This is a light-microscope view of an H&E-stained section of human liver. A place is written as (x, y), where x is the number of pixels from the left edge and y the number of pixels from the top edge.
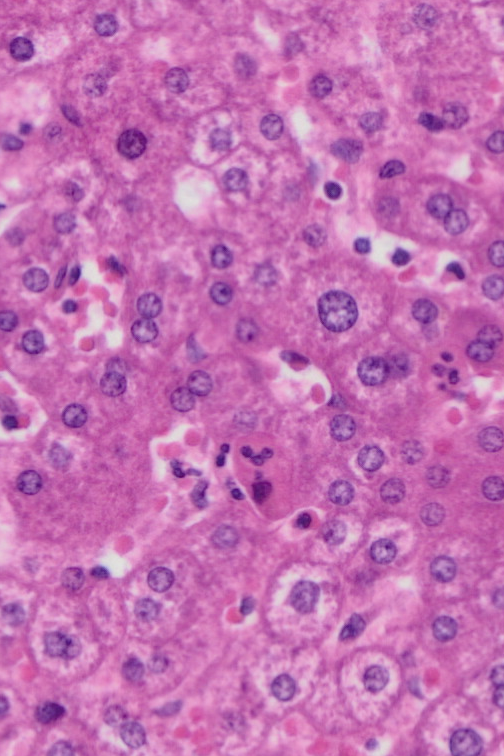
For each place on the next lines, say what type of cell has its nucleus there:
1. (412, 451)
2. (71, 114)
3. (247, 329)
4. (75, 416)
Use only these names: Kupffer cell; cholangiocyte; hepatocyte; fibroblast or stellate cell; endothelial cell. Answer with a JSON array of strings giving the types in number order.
["hepatocyte", "fibroblast or stellate cell", "hepatocyte", "hepatocyte"]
